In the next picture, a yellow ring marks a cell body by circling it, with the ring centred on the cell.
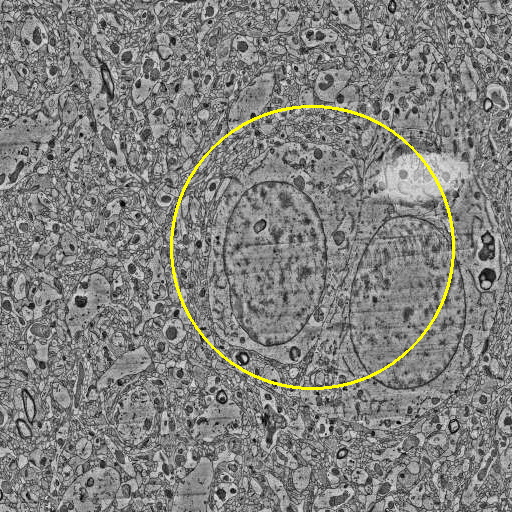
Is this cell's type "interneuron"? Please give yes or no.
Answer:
no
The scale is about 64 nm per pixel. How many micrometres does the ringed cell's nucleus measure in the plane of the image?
In this plane the nucleus is clearly longer than it is wide, at approximately 11 by 7 micrometres.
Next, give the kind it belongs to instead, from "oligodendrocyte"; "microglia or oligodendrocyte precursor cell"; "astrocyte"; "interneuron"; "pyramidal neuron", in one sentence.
The cell in question here is a pyramidal neuron.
